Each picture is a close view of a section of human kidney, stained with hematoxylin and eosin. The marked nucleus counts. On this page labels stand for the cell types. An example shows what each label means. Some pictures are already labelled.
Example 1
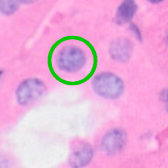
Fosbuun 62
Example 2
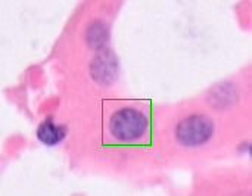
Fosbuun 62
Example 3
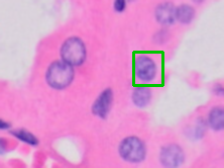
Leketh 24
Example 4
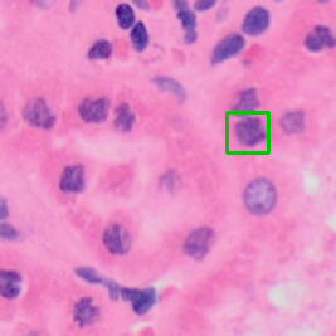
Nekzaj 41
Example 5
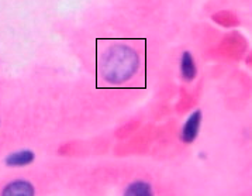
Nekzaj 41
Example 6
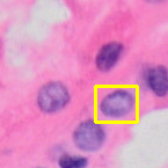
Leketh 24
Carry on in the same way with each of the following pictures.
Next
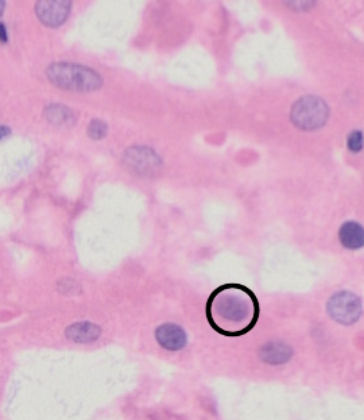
Nekzaj 41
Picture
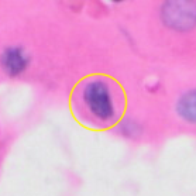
Fosbuun 62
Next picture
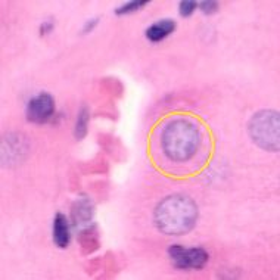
Nekzaj 41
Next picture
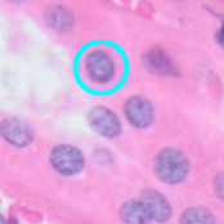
Fosbuun 62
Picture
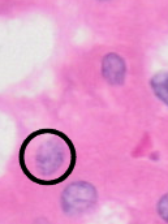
Nekzaj 41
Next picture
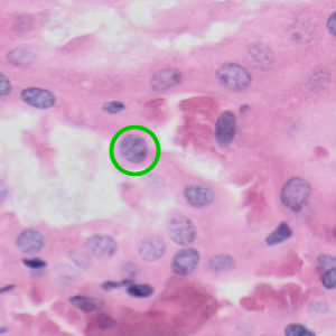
Fosbuun 62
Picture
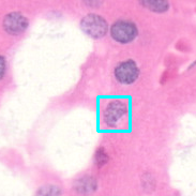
Fosbuun 62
